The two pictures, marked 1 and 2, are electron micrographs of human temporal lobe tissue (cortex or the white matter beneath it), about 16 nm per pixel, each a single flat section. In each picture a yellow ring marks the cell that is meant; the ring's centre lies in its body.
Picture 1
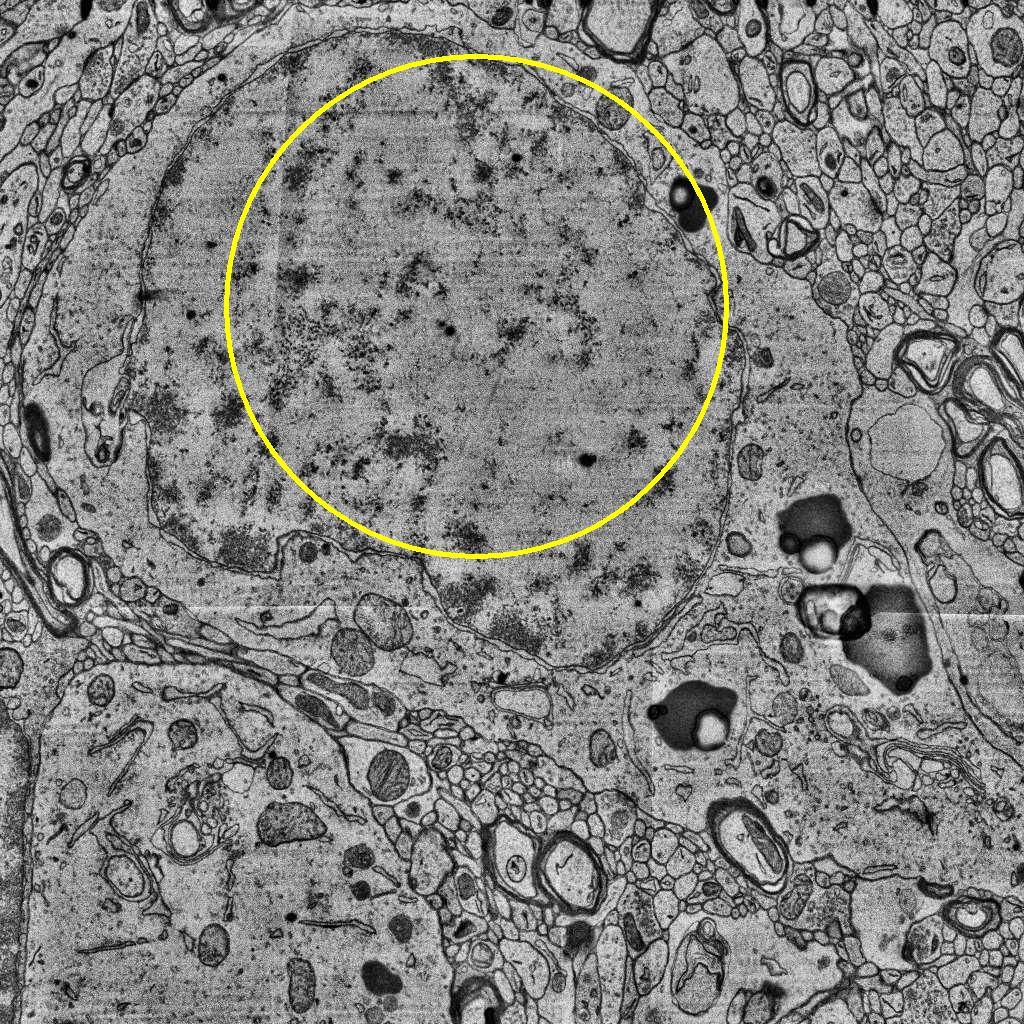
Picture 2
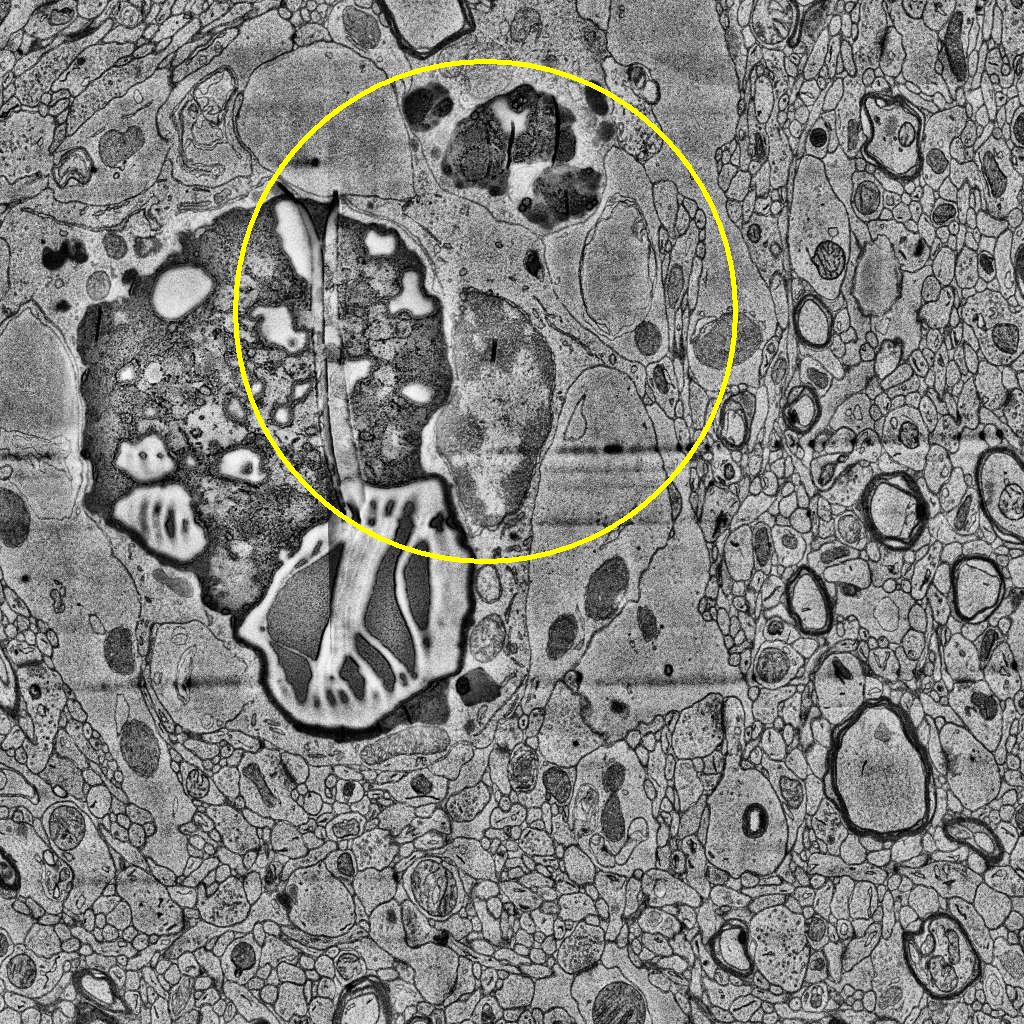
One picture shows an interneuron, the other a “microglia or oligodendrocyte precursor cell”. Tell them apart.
Picture 1 is of an interneuron, and picture 2 is of a “microglia or oligodendrocyte precursor cell”.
